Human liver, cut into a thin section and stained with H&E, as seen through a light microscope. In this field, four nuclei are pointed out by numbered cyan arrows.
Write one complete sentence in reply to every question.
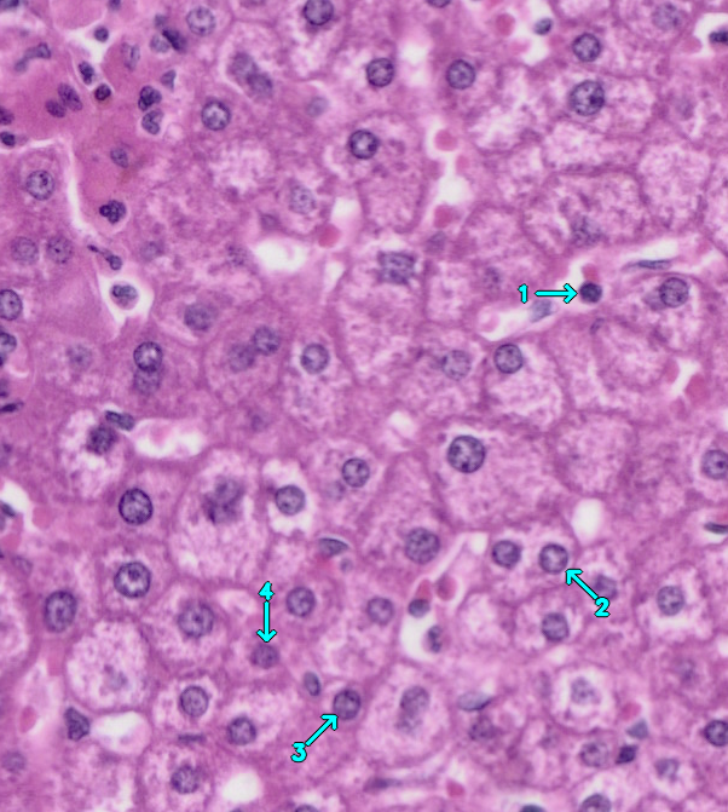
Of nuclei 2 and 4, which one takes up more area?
The larger nucleus is 2, at roughly 1.5 times the area of 4.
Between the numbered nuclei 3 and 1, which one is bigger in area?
Of the two, number 3 is bigger and takes up about 2 times the area of number 1.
